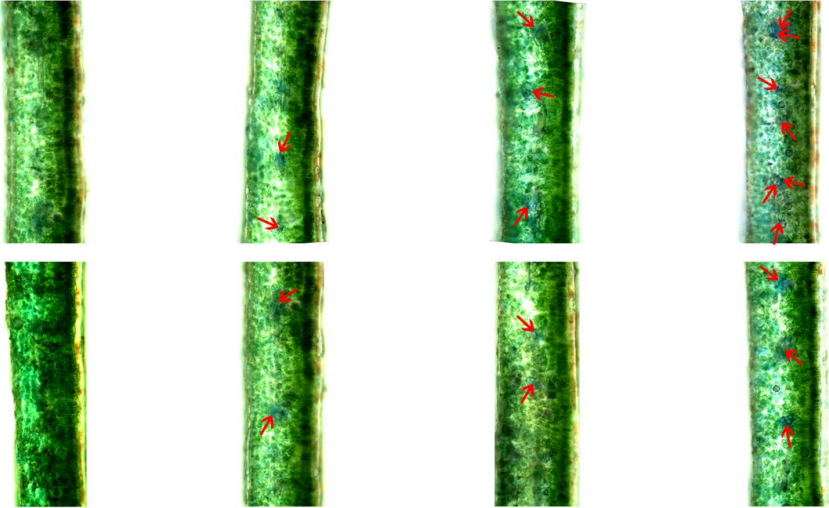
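These are strips of leaf tissue seen under the light microscope, mostly green from their chlorophyll. Scattered among the green cells are small dark blue spots the size of single cells, each pointed out by a red arrow. The leftmost strips show no such blue spots. Further to the right the blue spots become more common, most of all in the last strip of the upper row.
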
